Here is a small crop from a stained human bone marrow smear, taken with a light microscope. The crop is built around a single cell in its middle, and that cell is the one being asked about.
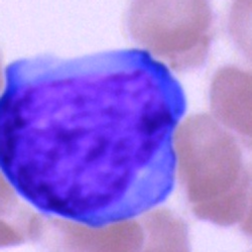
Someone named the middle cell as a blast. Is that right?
yes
